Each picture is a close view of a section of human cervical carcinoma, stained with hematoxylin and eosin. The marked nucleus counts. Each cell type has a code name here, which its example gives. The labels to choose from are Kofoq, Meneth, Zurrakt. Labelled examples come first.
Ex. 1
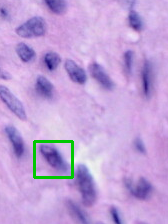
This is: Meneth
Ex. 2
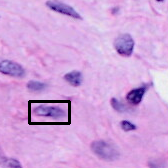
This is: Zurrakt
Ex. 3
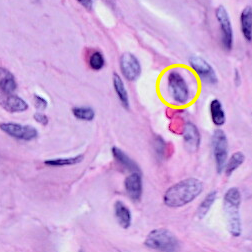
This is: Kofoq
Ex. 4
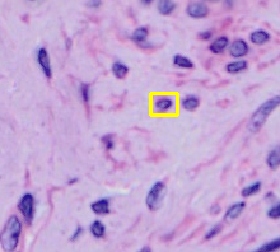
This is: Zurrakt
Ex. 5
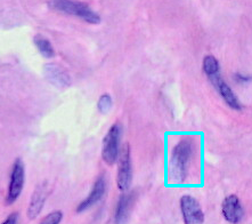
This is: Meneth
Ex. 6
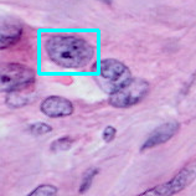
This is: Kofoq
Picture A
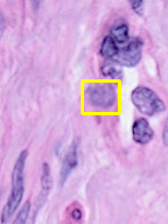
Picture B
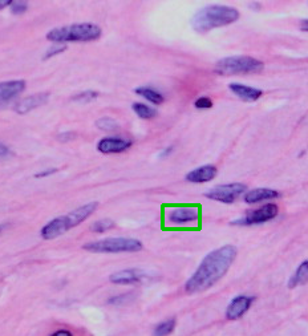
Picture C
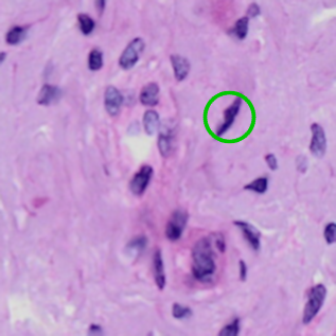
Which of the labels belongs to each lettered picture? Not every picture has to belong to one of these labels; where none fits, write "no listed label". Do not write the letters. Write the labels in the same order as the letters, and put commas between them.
Kofoq, Meneth, Meneth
